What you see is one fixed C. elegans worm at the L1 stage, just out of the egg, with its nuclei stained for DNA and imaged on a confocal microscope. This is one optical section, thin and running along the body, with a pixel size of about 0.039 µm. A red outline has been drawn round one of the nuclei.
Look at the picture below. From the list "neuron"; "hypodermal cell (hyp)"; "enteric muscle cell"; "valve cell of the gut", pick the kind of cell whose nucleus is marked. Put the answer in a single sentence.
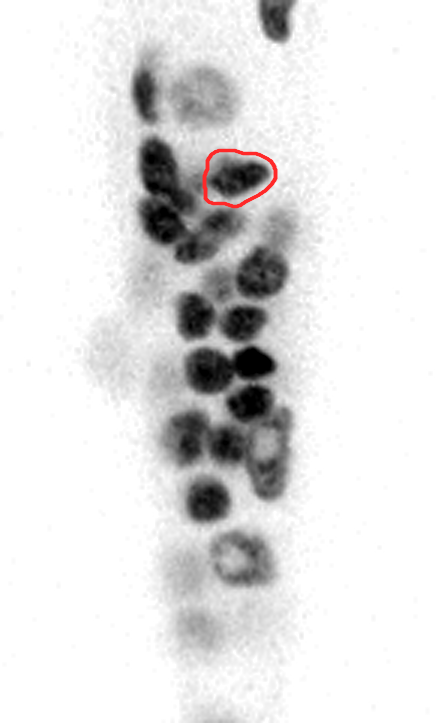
It belongs to a valve cell of the gut.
